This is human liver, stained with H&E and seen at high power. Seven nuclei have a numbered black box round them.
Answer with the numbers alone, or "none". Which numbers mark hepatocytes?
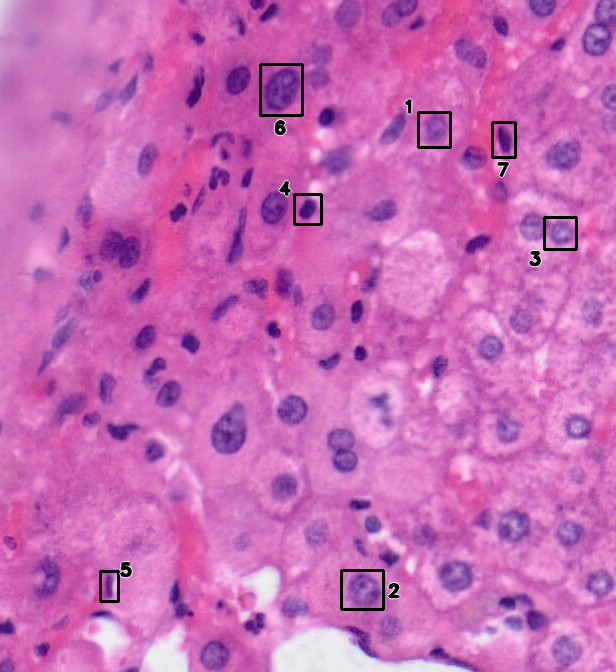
1, 2, 3, 6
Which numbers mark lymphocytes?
4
